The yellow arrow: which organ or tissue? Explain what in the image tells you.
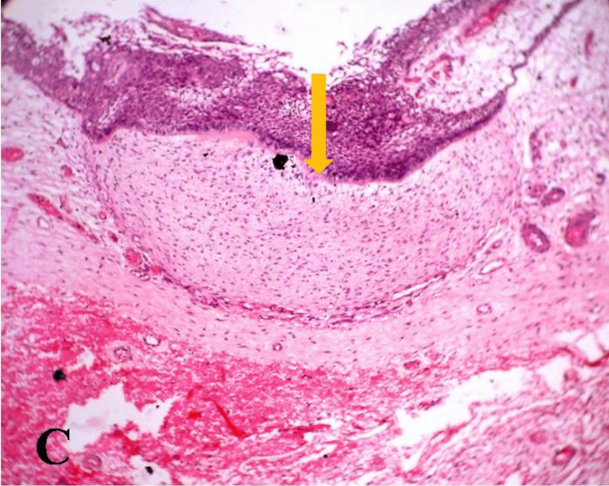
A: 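Primitive mesenchyme resembling dental papilla. A dark, densely cellular epithelial layer lies at the top. Looser fibrous tissue surrounds this zone.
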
